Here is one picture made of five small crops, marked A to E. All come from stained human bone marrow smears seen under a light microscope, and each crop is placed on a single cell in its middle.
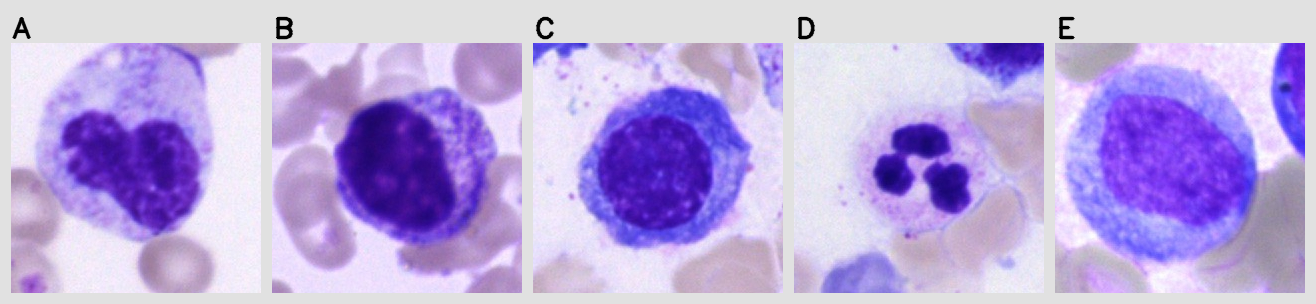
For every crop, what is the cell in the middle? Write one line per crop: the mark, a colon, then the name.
A: metamyelocyte
B: myelocyte
C: plasma cell
D: segmented neutrophil
E: promyelocyte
